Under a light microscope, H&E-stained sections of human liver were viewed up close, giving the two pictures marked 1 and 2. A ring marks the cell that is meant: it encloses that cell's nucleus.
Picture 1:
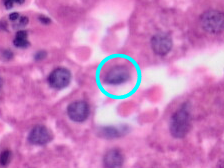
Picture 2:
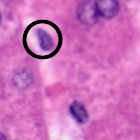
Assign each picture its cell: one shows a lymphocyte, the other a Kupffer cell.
1: Kupffer cell
2: lymphocyte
